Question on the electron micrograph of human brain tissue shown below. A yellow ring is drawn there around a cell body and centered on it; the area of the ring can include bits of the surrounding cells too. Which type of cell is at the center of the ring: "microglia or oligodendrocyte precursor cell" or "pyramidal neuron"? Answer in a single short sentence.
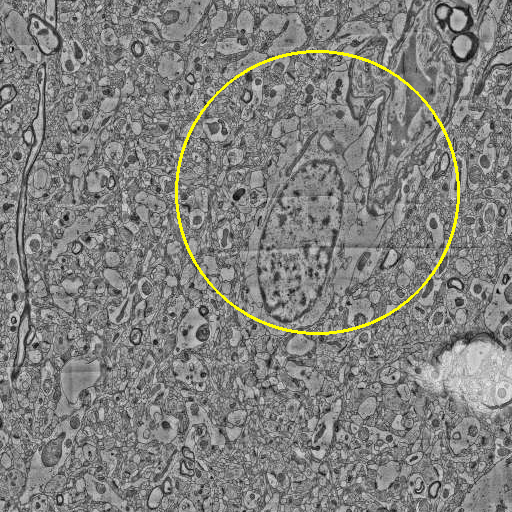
The ring is centered on a microglial cell or oligodendrocyte precursor cell.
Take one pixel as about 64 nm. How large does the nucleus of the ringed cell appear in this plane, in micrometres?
In this plane, about 11 by 5 micrometres: the nucleus is clearly longer than it is wide.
